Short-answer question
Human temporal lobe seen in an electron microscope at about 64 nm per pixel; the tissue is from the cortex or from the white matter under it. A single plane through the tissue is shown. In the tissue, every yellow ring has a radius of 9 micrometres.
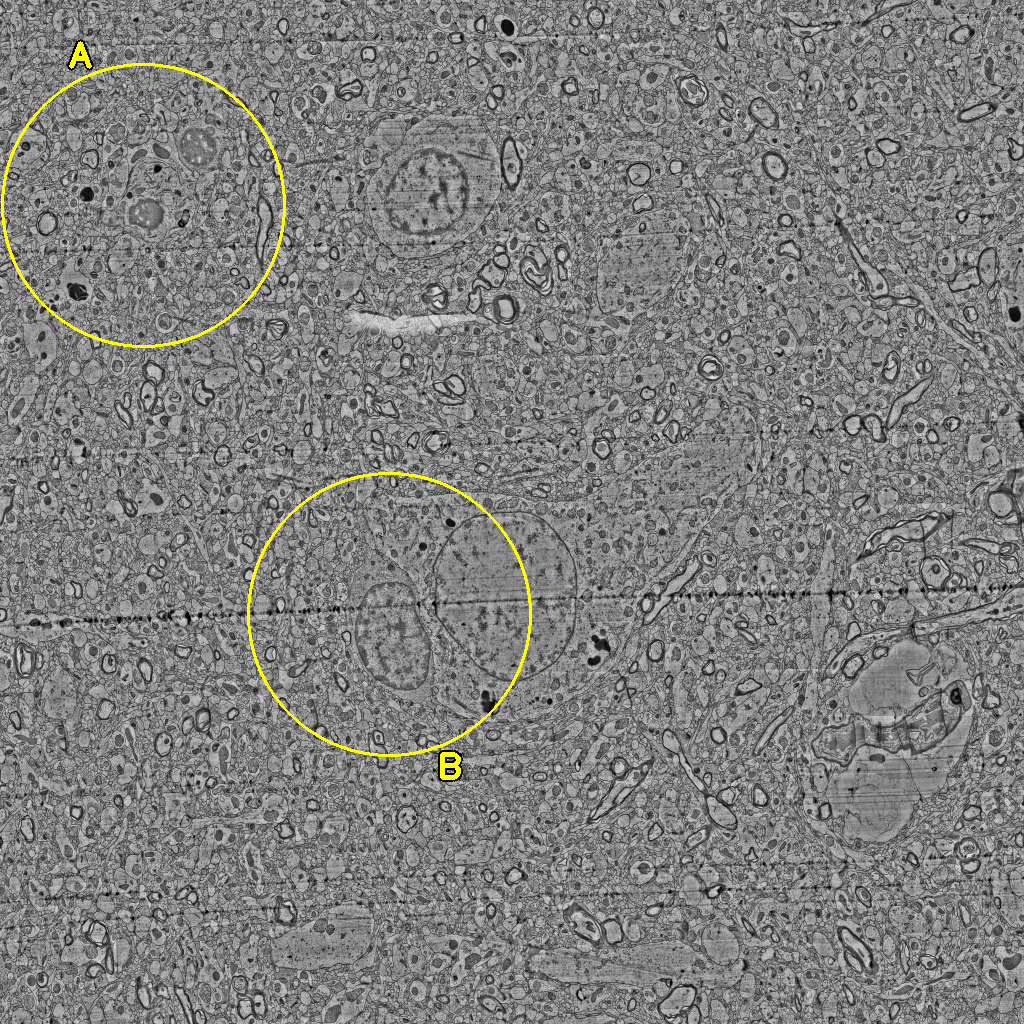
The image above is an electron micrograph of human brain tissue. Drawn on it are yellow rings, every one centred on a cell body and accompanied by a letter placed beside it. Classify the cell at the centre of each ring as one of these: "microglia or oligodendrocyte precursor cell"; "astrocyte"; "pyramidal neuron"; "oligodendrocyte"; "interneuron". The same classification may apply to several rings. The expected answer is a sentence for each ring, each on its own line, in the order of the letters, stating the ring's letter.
The cell at ring A is classified as a microglial cell or oligodendrocyte precursor cell.
The cell at ring B is classified as an oligodendrocyte.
